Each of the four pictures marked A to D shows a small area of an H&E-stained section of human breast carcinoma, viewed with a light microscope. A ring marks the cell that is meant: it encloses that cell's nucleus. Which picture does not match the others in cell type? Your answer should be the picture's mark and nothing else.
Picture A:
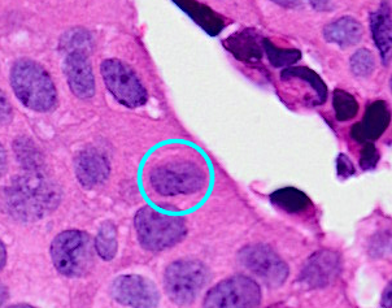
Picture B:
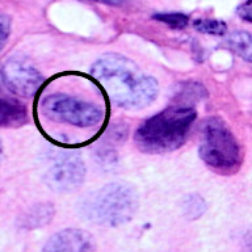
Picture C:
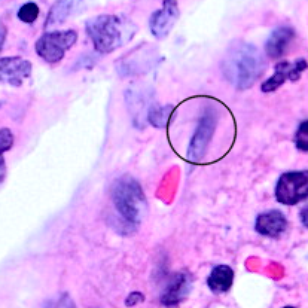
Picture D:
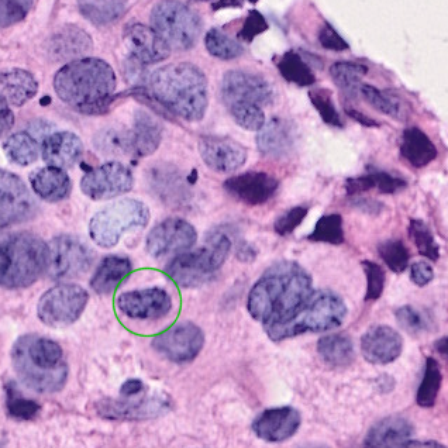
C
